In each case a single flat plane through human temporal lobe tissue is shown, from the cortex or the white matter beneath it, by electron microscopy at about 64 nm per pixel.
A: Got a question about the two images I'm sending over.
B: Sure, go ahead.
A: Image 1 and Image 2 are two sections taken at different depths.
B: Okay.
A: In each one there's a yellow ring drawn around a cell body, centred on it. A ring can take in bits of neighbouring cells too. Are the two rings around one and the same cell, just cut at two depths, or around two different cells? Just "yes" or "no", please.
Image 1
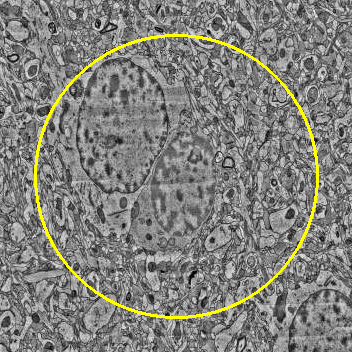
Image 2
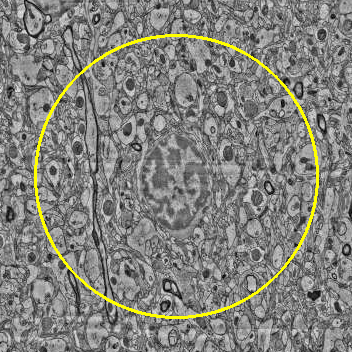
no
